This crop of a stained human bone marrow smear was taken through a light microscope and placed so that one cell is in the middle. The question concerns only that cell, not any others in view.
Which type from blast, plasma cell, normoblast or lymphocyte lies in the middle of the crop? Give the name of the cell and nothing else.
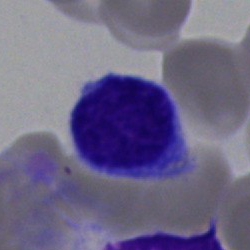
lymphocyte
